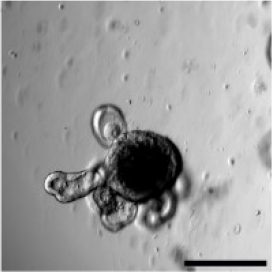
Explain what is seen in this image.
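A single organoid lies in a clear gel: a dark, dense, roughly spherical central body with several pale, translucent buds and short finger-like protrusions projecting from its surface. The protrusions have smooth outlines and a thin epithelial wall around a lighter interior. The dark central body is opaque, as if filled with shed material in its lumen. Fine particles are scattered through the surrounding gel. Such a budding form with a central body and outward projections is typical of an epithelial organoid grown in three-dimensional culture.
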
